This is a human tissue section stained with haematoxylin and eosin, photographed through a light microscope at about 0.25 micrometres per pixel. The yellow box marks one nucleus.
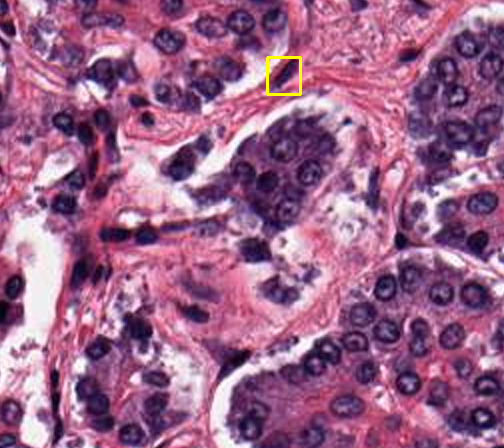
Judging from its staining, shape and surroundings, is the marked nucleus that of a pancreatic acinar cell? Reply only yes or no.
no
